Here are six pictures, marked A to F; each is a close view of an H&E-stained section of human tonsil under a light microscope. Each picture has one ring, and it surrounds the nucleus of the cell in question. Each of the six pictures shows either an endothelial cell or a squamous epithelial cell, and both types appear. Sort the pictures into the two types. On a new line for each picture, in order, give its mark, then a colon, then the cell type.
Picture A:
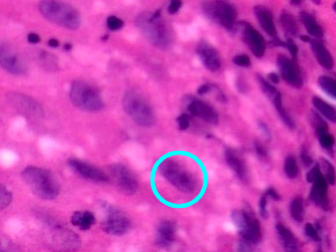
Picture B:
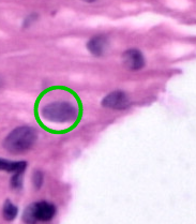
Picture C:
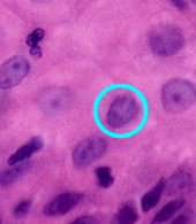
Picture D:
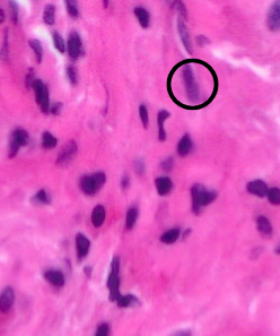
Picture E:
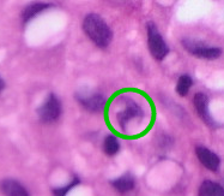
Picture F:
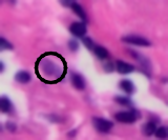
A: squamous epithelial cell
B: squamous epithelial cell
C: squamous epithelial cell
D: endothelial cell
E: squamous epithelial cell
F: endothelial cell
